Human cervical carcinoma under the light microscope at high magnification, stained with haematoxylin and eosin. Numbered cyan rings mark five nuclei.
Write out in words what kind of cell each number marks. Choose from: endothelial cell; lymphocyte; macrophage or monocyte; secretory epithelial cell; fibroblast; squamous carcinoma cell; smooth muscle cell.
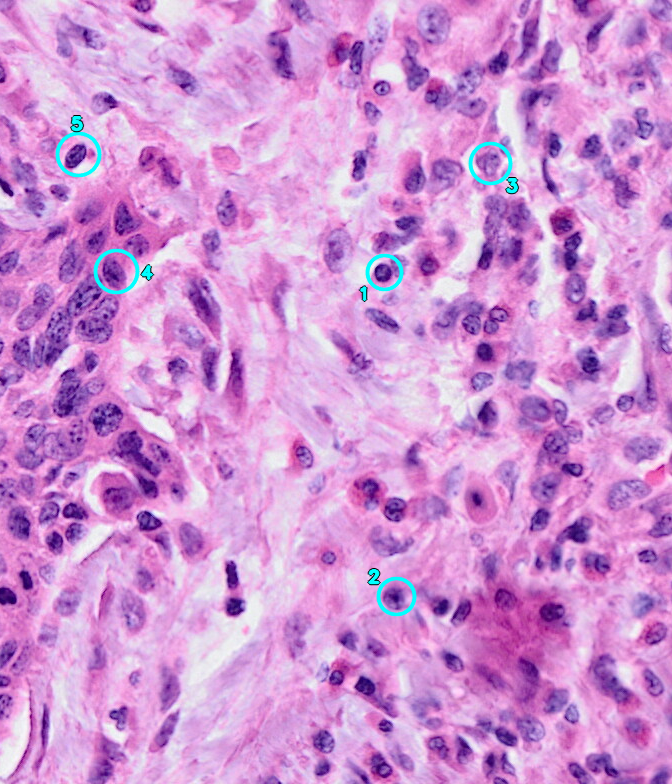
Cell 1 is a lymphocyte, cell 2 is a lymphocyte, cell 3 is a macrophage or monocyte, cell 4 is a squamous carcinoma cell and cell 5 is a lymphocyte.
